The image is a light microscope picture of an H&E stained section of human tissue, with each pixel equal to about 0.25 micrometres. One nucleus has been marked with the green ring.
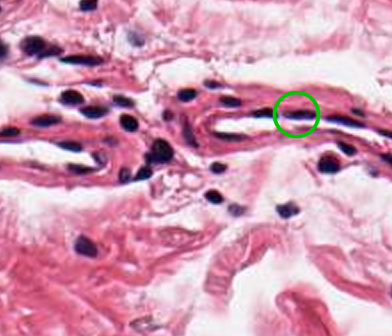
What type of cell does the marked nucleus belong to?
endothelial cell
